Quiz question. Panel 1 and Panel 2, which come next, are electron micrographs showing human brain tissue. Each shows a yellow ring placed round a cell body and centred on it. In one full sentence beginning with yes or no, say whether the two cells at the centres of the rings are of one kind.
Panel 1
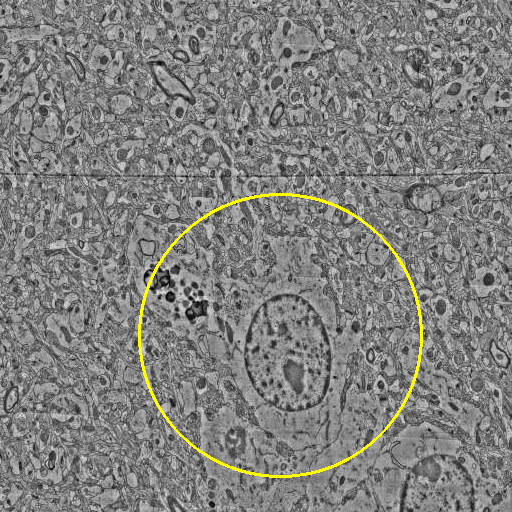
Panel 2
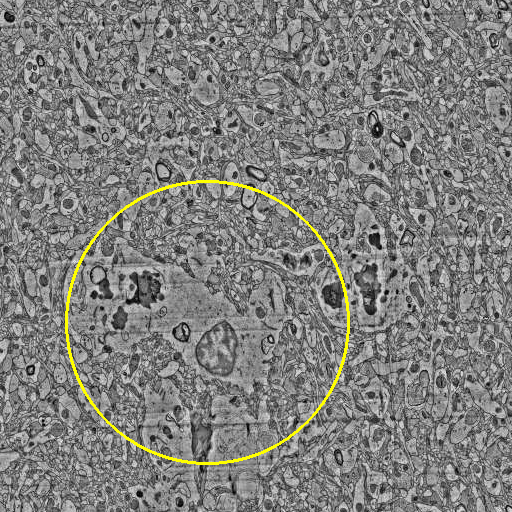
Yes, Panel 1 and Panel 2 show one kind of cell at the centre of the ring.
